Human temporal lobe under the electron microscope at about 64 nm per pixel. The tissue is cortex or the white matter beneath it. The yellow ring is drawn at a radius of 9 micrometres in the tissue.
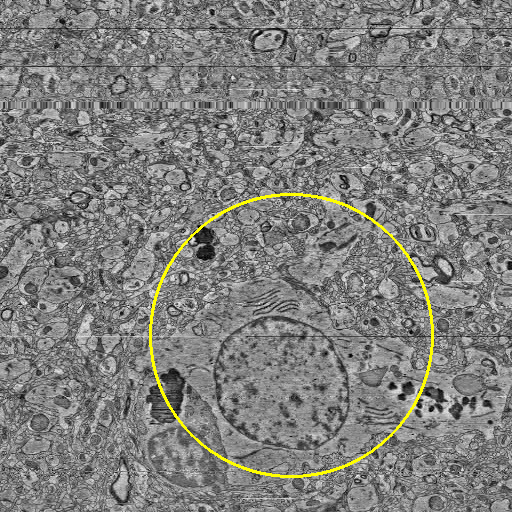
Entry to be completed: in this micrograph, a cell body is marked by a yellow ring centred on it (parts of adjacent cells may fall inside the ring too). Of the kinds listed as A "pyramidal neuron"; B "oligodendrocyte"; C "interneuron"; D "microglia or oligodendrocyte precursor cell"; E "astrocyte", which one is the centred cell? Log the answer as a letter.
E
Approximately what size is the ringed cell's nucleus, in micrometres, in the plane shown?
Roughly 9 micrometers across in this plane.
